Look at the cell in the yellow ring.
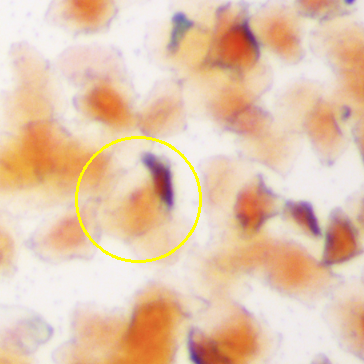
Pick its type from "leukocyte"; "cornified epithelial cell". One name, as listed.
cornified epithelial cell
